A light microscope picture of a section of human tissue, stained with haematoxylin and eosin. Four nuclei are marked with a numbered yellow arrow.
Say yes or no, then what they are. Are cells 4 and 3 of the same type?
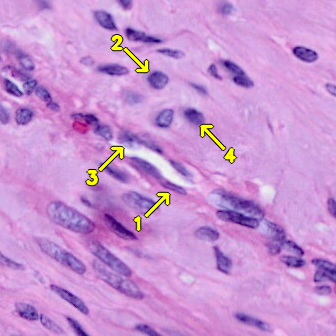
No, that is not right: cell 4 is a fibroblast and cell 3 is an endothelial cell.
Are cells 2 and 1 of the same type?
No, not so; cell 2 is a fibroblast and cell 1 is an endothelial cell.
